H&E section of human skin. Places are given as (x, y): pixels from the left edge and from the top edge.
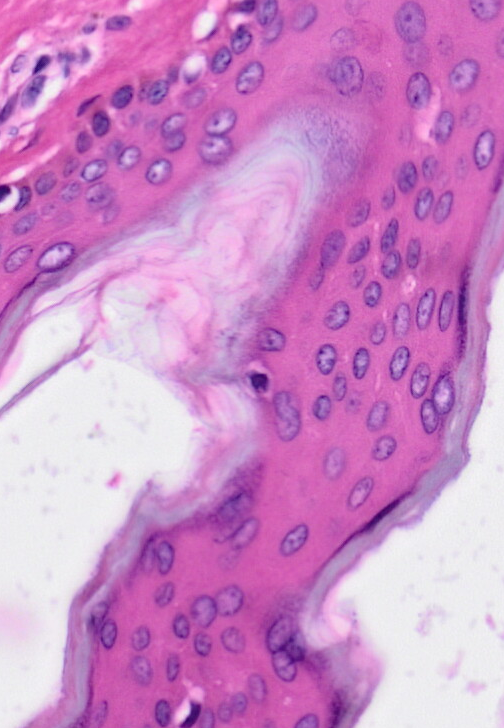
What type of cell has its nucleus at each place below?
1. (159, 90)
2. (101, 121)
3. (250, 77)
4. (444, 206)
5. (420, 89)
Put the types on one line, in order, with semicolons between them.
basal keratinocyte; basal keratinocyte; suprabasal keratinocyte; suprabasal keratinocyte; suprabasal keratinocyte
